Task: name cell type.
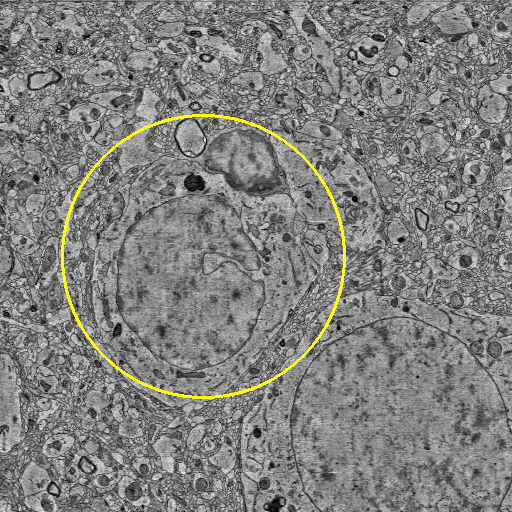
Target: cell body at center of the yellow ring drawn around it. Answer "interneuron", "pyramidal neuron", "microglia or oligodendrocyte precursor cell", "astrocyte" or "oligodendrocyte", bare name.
interneuron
